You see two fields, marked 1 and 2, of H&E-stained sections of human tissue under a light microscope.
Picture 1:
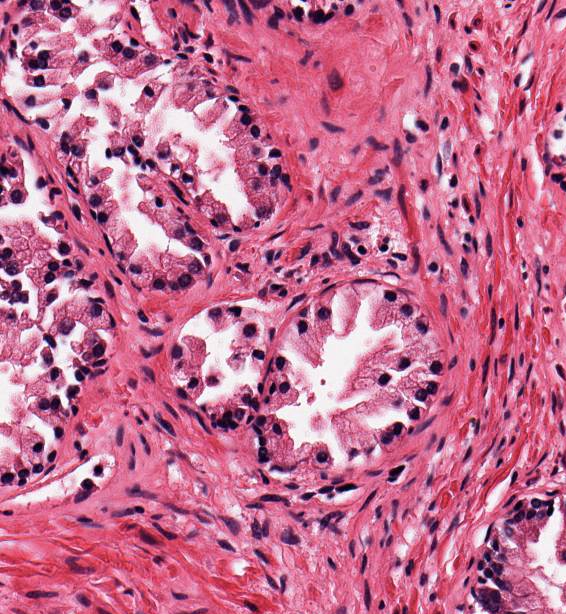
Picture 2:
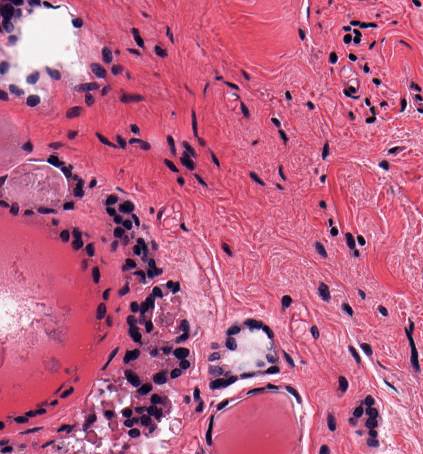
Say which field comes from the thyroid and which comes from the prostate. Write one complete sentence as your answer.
Picture 1 comes from the prostate and picture 2 comes from the thyroid.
